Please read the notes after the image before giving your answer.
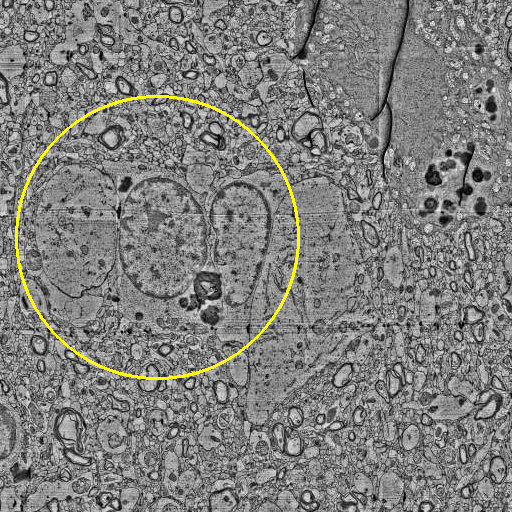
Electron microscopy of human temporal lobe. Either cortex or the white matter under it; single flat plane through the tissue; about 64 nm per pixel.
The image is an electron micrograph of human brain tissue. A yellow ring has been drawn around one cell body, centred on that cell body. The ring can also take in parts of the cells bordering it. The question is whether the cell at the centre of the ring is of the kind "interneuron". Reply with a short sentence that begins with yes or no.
No, the cell at the centre is of another kind.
